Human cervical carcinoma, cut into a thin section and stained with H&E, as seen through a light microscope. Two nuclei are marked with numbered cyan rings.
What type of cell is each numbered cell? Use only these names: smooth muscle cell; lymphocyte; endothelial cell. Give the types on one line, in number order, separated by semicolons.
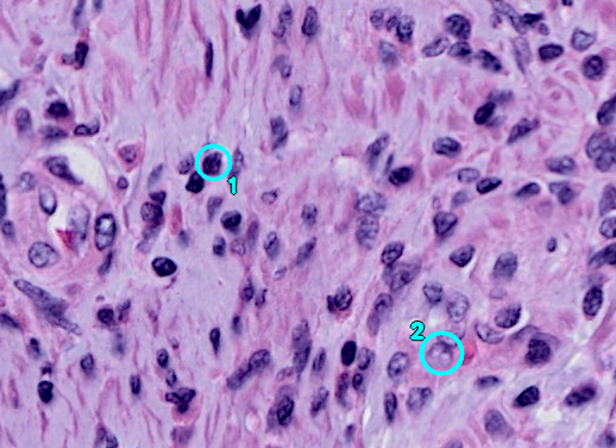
lymphocyte; endothelial cell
